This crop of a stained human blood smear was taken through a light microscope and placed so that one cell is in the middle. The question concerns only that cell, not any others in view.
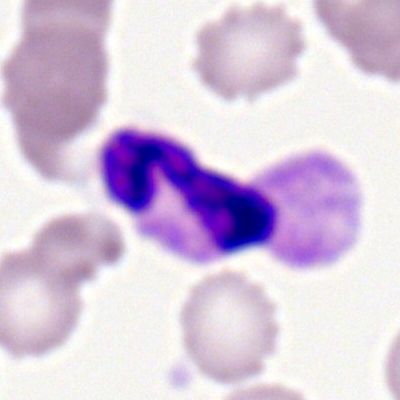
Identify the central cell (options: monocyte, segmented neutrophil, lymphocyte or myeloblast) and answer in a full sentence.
In the center of this field lies a segmented neutrophil.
